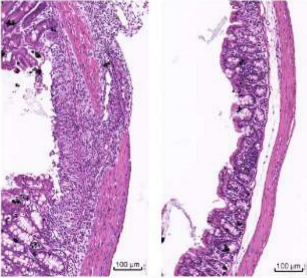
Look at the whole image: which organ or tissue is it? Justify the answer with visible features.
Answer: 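Tubular glands (crypts) lined by columnar epithelium form the mucosa. Smooth muscle layers run along the outer side of the wall. On this evidence: colon.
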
